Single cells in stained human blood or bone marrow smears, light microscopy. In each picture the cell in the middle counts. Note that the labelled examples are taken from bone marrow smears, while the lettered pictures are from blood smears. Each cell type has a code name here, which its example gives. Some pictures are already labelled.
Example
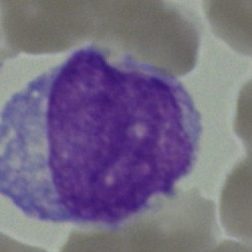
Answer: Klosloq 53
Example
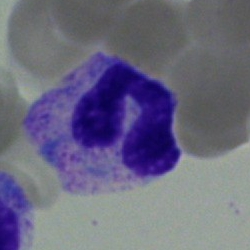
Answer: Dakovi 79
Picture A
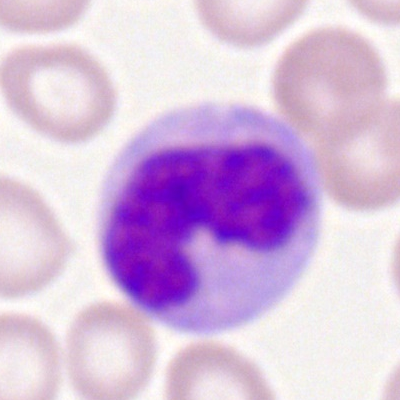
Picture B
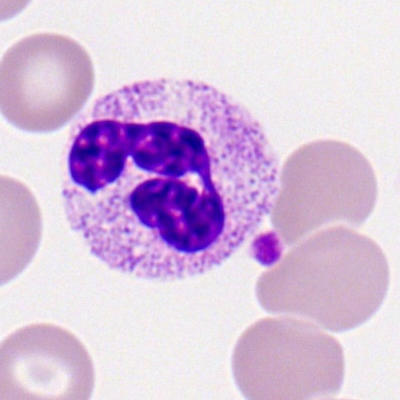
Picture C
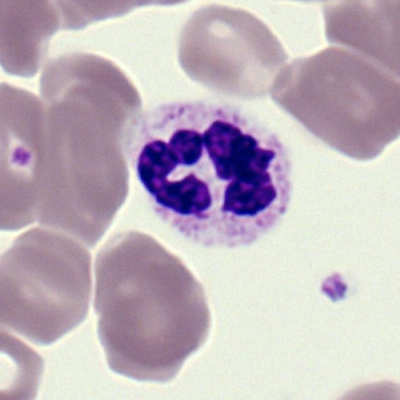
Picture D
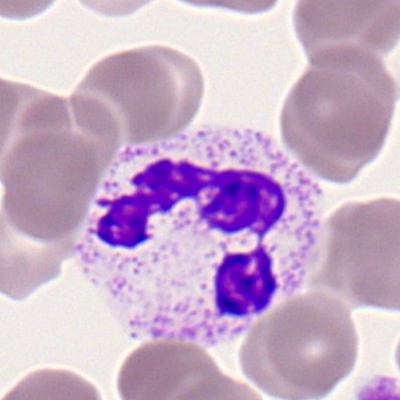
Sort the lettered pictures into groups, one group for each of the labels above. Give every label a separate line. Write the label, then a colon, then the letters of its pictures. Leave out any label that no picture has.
Klosloq 53: A
Dakovi 79: B, C, D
